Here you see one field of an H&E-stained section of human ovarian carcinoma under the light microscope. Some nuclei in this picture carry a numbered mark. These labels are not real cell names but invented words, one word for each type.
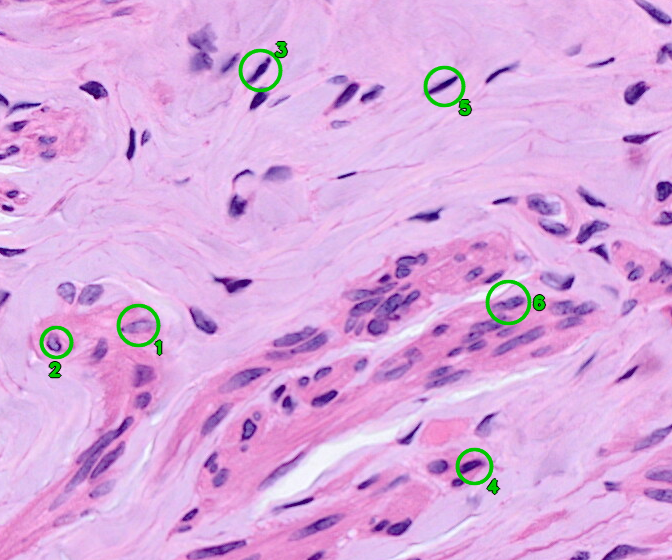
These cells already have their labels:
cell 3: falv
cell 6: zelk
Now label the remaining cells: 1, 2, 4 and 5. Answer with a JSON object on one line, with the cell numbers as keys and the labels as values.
{"1": "zelk", "2": "zelk", "4": "zelk", "5": "falv"}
